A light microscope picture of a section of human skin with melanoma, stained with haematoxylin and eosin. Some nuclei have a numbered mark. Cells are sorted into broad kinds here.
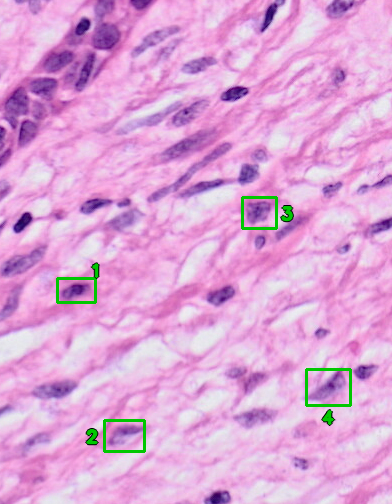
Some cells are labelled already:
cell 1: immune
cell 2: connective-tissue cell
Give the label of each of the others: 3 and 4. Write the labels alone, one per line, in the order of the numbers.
immune
connective-tissue cell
